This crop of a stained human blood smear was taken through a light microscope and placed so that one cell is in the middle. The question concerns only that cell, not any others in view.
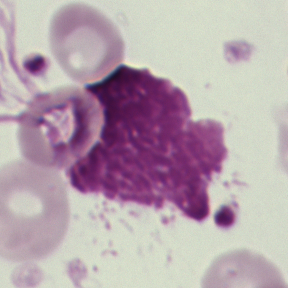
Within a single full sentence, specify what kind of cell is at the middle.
As for the cell in the middle, it is a smudge cell.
